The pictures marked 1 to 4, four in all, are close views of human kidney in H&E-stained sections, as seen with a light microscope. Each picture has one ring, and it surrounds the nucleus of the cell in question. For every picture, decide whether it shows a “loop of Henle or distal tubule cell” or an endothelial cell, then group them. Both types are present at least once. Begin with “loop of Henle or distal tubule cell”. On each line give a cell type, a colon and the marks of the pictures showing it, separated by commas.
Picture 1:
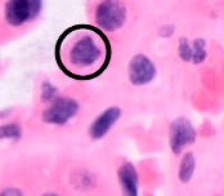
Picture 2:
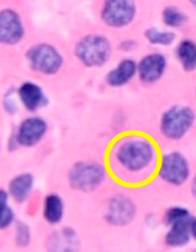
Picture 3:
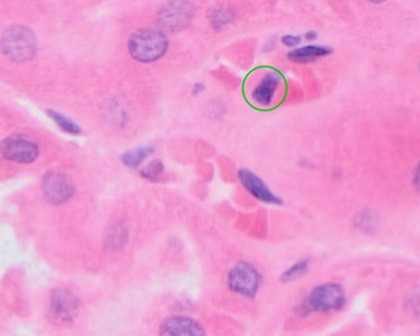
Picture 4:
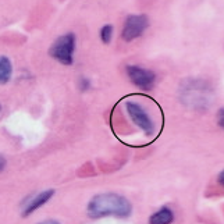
loop of Henle or distal tubule cell: 1, 2
endothelial cell: 3, 4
